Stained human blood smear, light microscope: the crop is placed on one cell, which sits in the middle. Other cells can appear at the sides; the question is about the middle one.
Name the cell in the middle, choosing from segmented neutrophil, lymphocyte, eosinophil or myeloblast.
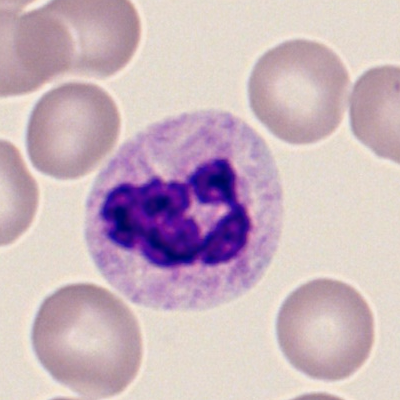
segmented neutrophil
